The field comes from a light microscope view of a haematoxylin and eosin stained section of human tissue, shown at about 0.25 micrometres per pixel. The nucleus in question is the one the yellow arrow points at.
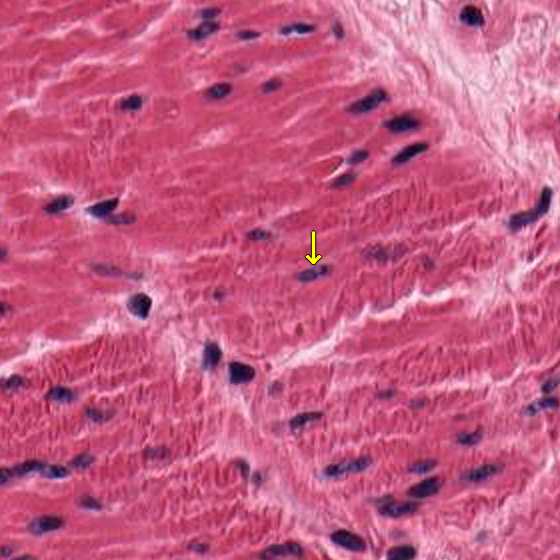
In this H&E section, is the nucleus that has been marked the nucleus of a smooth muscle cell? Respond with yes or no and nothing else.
yes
